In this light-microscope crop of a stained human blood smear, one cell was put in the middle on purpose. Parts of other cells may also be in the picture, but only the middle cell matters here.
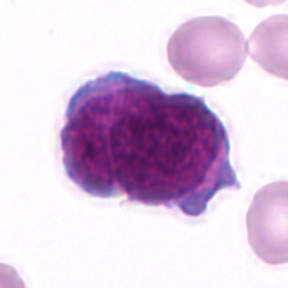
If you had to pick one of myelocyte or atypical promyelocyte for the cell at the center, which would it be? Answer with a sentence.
Occupying the centre of the crop is an atypical promyelocyte.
